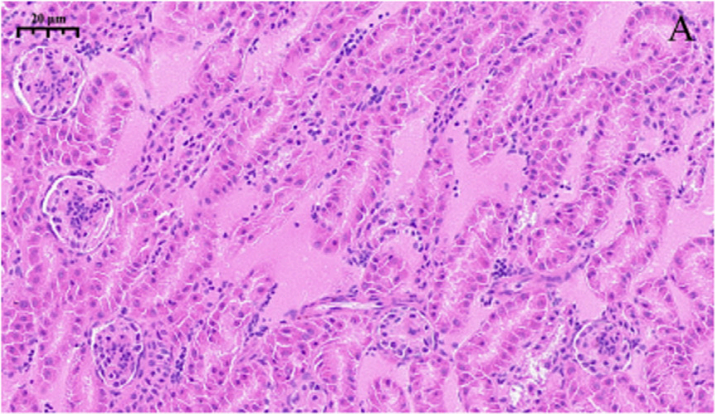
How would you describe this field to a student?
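This is kidney cortex, with several round glomeruli, each a compact tuft of dark purple nuclei held within a thin clear space and a fine capsule line. Around them lie many cut tubules lined by cuboidal epithelial cells with pink cytoplasm and round purple nuclei, their outlines distinct, with pale pink material in the spaces between.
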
